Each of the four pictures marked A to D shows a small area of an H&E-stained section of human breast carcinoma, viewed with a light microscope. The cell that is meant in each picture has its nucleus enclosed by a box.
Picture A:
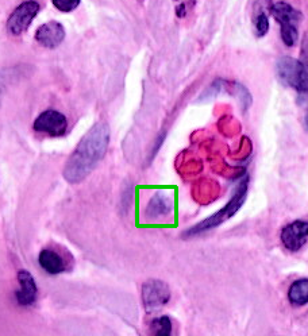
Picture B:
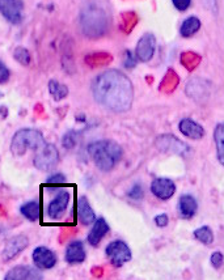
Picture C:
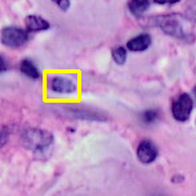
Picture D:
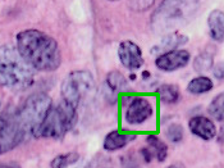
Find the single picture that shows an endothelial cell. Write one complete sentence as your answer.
Picture A shows the endothelial cell.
